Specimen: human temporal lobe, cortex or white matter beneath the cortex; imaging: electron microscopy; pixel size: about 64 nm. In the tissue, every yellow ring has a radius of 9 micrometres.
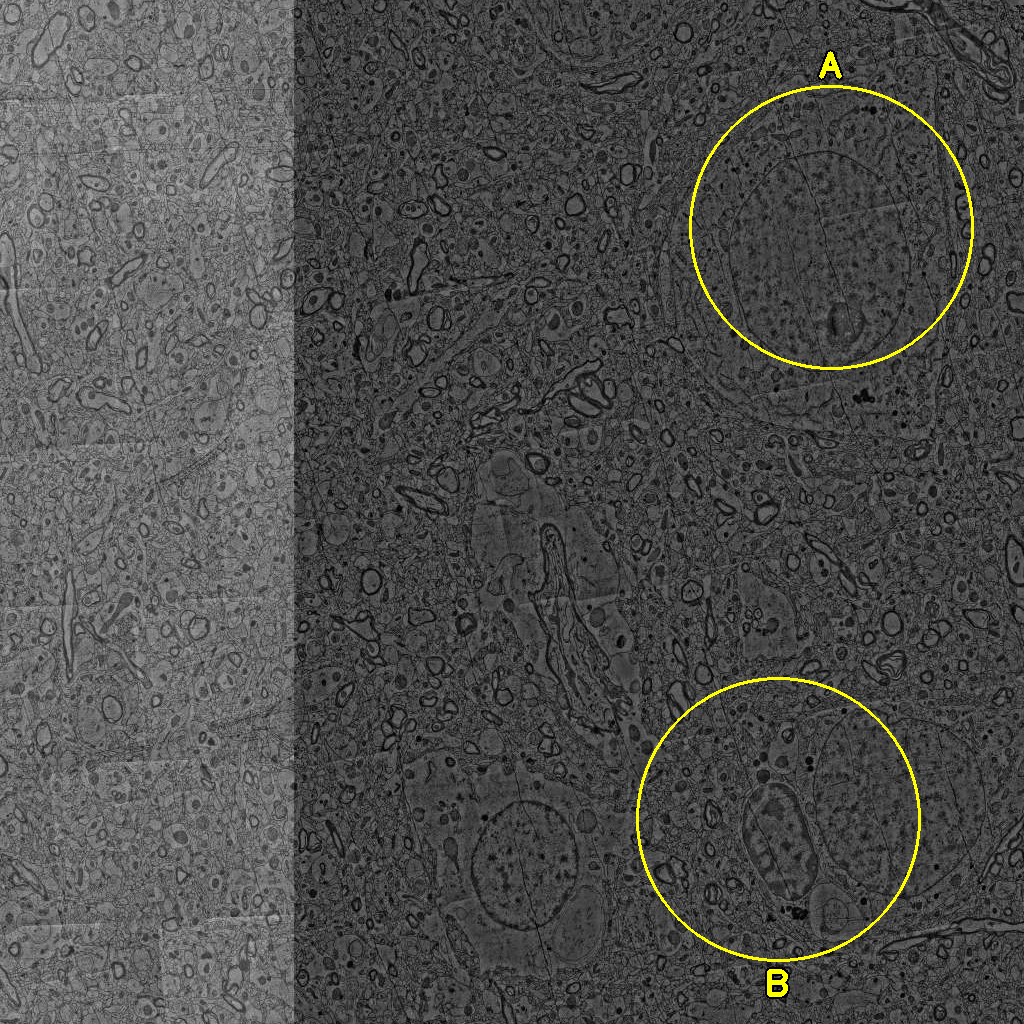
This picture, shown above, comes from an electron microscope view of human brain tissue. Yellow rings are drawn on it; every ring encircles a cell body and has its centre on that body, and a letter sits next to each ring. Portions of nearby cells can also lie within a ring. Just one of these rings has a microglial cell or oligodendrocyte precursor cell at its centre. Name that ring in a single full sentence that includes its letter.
In the picture, ring B has the cell asked for at its centre.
